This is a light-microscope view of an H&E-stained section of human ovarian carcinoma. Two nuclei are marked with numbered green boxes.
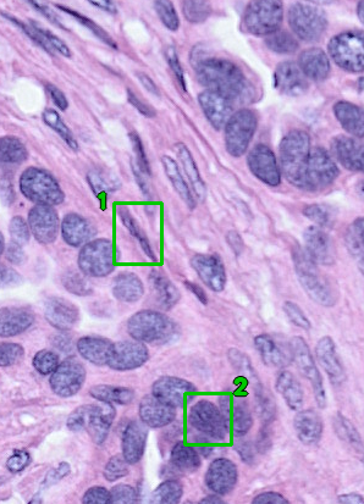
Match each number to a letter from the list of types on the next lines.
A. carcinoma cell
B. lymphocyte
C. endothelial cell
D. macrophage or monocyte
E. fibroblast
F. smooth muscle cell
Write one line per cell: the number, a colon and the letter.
1: E
2: A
